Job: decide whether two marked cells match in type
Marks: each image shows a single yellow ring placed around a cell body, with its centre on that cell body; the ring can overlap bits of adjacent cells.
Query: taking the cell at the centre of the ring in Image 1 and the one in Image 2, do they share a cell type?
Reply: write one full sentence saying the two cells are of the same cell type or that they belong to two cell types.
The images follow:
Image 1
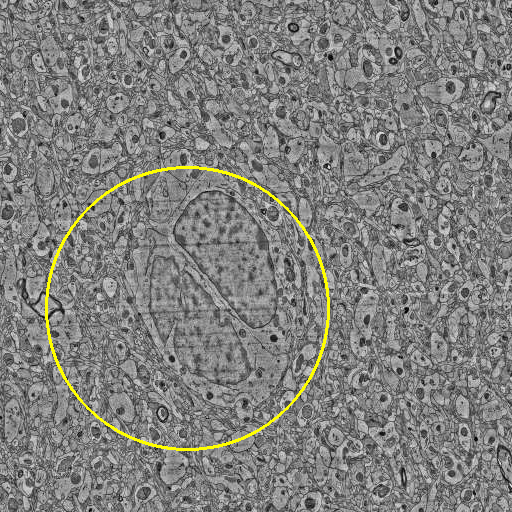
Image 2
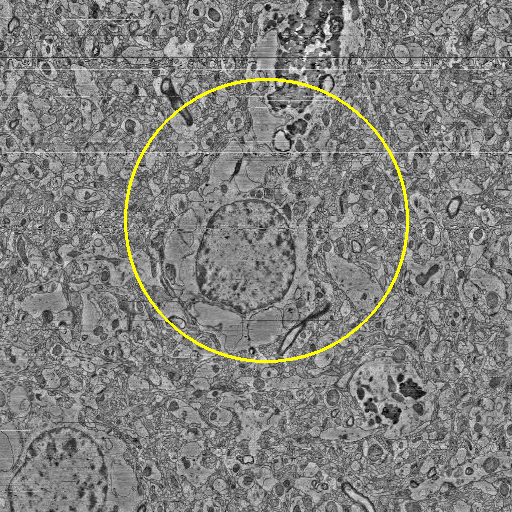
The cells at the ring centres in Image 1 and Image 2 belong to two cell types.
